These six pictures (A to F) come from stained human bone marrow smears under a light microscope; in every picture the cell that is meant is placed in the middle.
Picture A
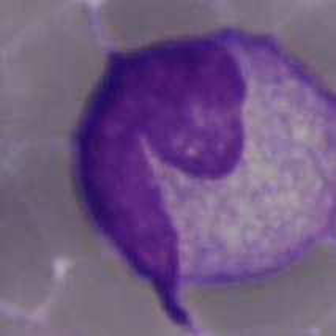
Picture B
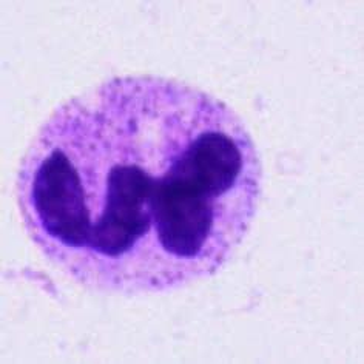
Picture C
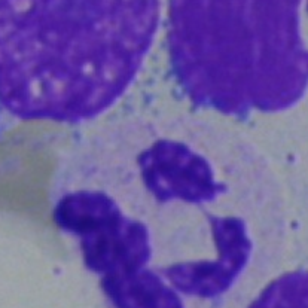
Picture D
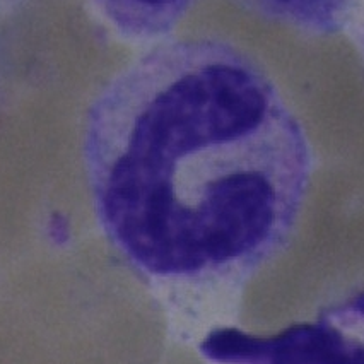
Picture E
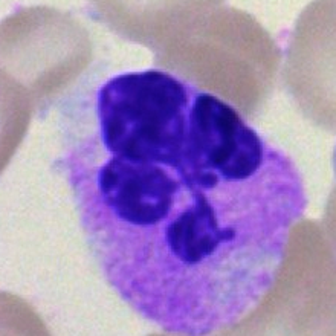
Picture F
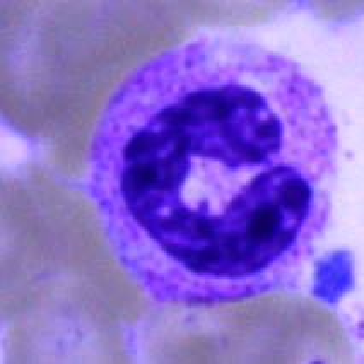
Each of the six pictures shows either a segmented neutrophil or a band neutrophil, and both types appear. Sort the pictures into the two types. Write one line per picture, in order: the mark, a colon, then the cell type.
A: band neutrophil
B: segmented neutrophil
C: segmented neutrophil
D: band neutrophil
E: segmented neutrophil
F: segmented neutrophil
